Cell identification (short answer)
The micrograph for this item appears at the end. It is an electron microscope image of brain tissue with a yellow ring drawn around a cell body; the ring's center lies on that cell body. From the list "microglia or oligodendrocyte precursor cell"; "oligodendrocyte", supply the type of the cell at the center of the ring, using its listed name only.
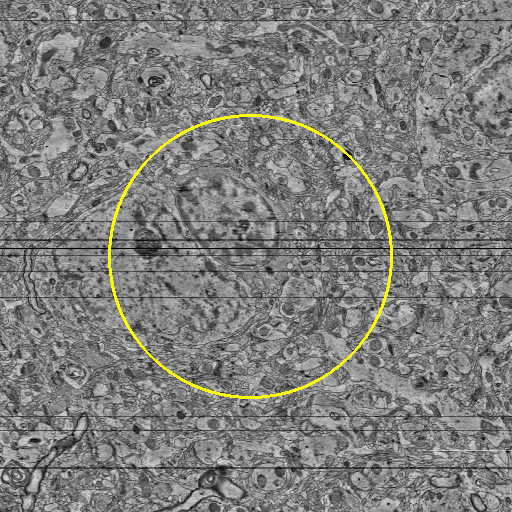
oligodendrocyte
